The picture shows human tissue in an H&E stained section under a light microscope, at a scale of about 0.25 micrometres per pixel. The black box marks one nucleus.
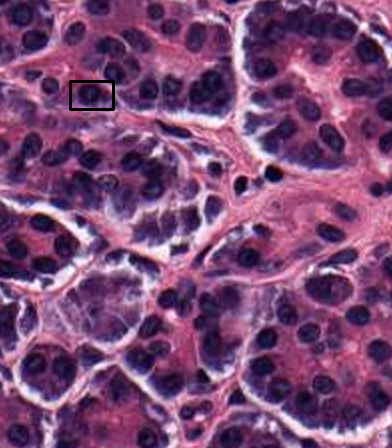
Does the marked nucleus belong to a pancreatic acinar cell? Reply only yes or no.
yes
